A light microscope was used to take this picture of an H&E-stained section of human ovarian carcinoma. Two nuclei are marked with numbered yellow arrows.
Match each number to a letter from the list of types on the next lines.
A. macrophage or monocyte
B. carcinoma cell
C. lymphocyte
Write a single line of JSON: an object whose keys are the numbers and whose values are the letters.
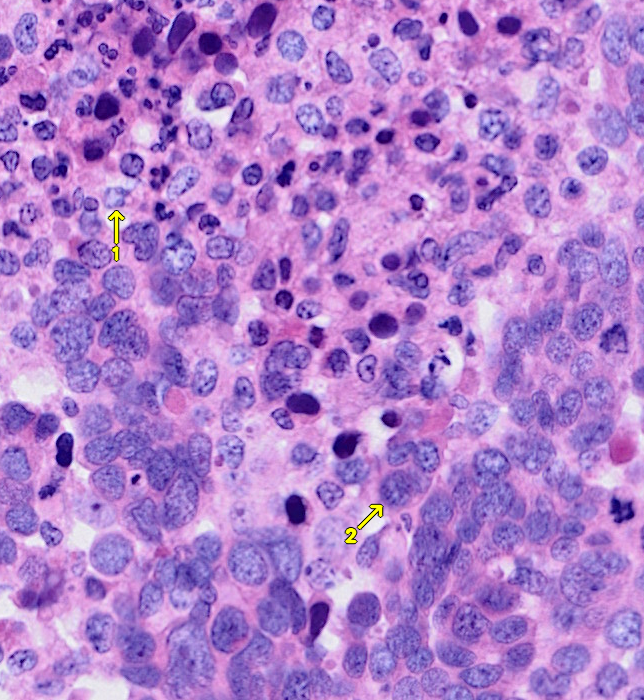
{"1": "A", "2": "B"}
